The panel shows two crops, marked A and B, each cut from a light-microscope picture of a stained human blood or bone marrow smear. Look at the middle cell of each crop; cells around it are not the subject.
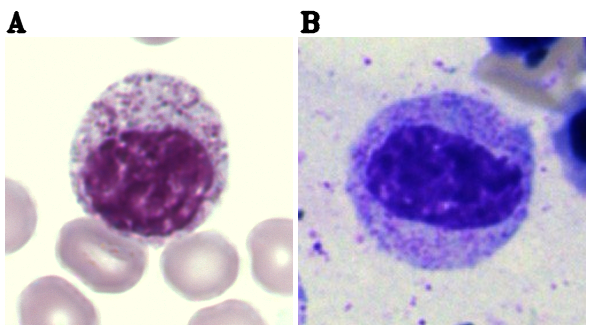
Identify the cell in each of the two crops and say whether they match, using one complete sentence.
Yes, the cells placed at the centre of both crops are myelocytes.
